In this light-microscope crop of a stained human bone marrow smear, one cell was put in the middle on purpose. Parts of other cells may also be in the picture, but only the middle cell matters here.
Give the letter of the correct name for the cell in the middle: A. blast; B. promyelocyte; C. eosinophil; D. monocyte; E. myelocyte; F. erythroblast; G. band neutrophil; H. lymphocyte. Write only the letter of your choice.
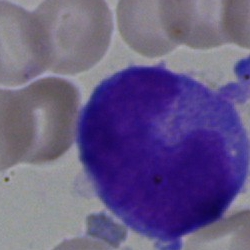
D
